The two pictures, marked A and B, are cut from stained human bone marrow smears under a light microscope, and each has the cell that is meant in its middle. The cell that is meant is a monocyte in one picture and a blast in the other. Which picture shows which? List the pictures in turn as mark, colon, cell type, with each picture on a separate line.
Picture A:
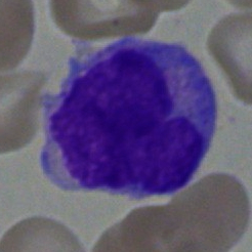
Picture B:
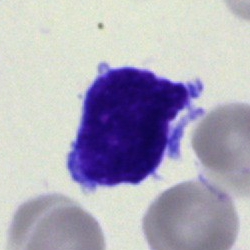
A: monocyte
B: blast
